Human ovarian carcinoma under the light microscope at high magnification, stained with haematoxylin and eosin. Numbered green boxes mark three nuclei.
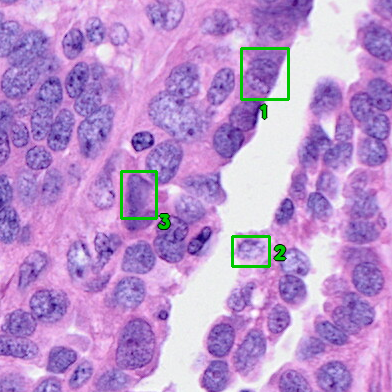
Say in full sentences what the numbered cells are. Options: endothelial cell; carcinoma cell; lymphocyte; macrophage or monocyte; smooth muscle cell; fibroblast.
Cells 1 and 3 are carcinoma cells. Cell 2 is a macrophage or monocyte.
